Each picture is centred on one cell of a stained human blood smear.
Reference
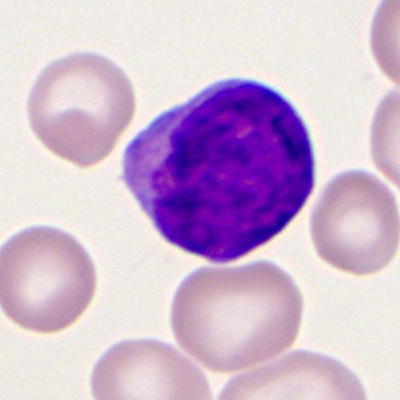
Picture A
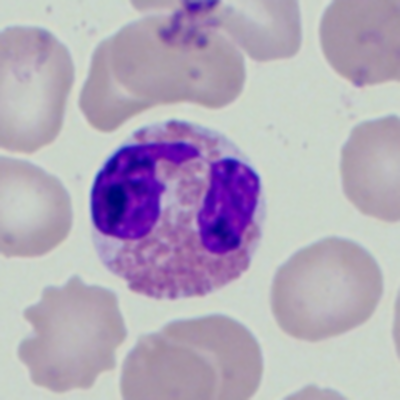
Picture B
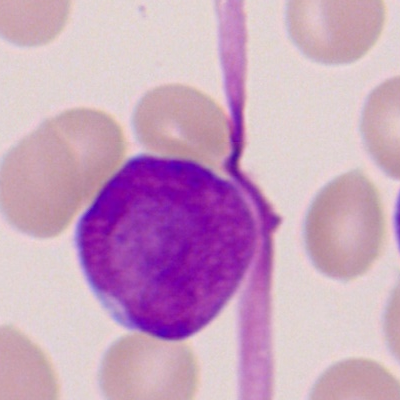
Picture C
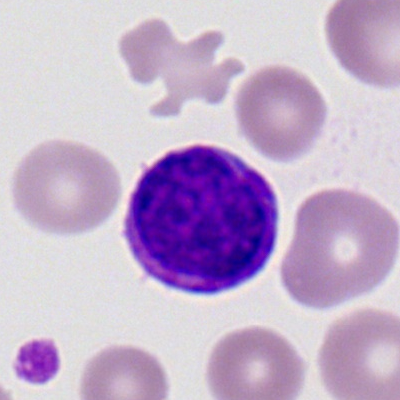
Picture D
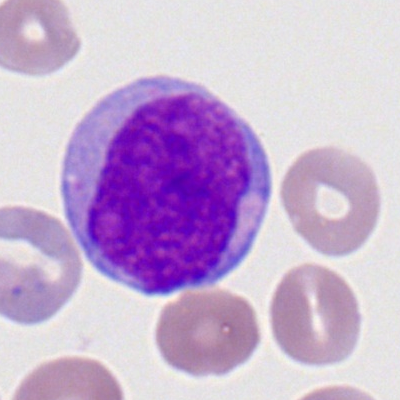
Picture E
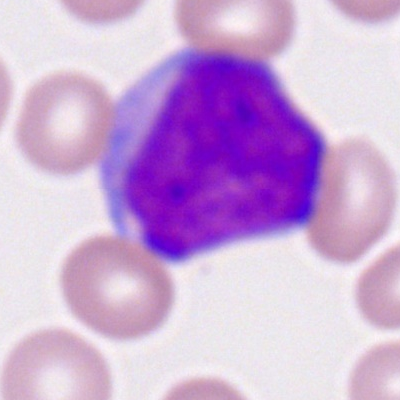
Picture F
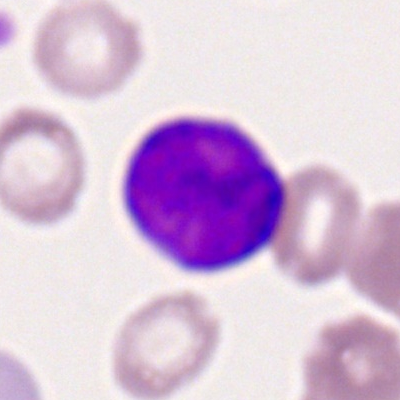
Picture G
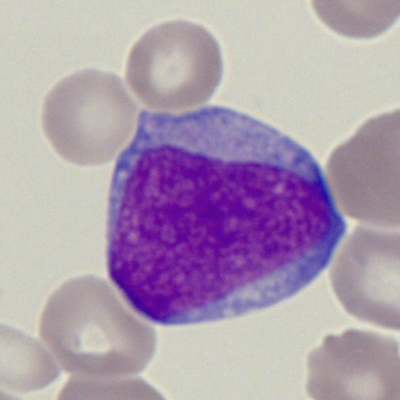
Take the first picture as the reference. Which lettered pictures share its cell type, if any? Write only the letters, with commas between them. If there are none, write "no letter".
B, D, E, F, G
